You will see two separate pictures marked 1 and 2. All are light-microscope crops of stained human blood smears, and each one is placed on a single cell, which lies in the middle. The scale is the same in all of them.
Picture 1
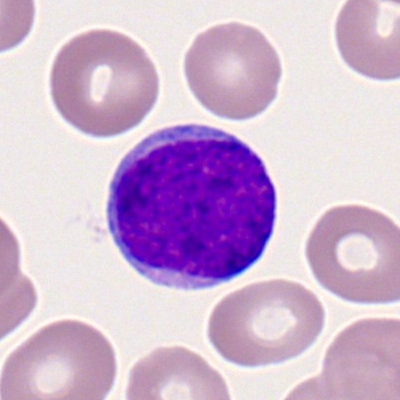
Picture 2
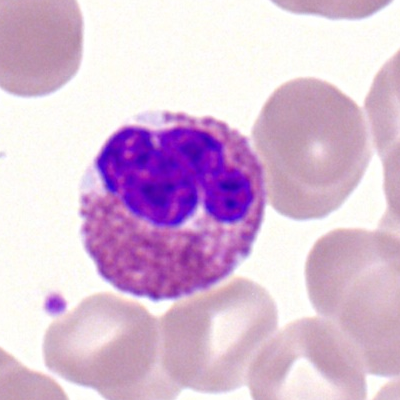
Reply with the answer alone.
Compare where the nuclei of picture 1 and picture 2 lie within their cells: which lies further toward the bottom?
1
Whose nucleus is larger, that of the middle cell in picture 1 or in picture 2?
1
